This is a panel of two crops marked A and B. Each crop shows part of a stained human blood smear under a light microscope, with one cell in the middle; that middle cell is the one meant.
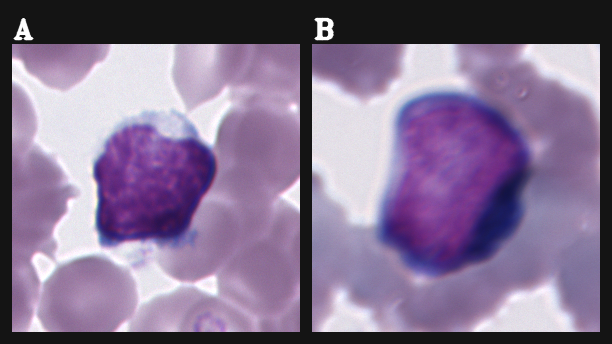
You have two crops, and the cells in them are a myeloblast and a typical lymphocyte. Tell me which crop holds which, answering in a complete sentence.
Crop A is a typical lymphocyte, and crop B is a myeloblast.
